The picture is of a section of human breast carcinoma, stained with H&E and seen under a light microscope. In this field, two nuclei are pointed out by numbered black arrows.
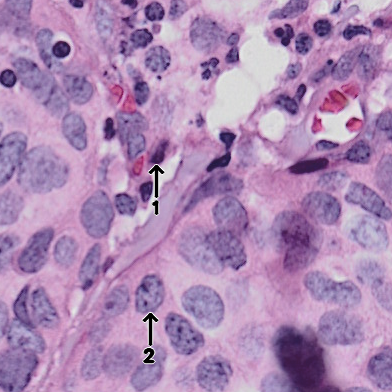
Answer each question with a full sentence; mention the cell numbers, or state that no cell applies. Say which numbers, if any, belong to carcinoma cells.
Among all the marked cells, a carcinoma cell is found only at number 2.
